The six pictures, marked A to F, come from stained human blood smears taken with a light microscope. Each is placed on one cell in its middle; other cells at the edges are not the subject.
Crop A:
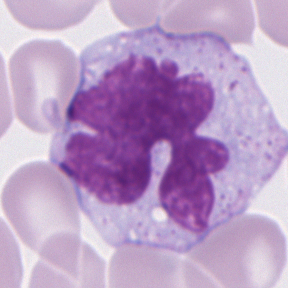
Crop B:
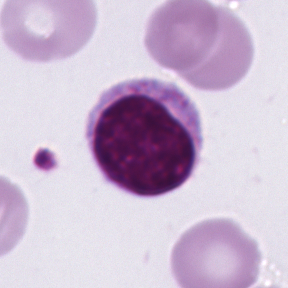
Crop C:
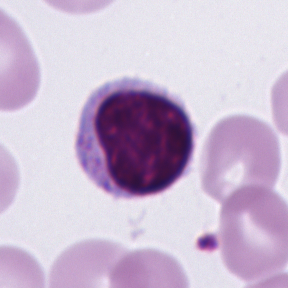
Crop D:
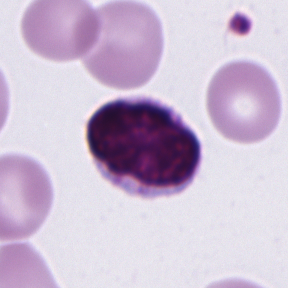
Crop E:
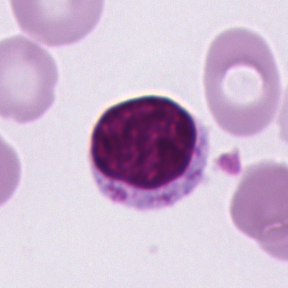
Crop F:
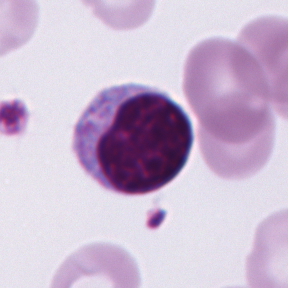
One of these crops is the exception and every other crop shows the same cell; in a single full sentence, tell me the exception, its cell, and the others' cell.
In every crop except crop A, which shows a monocyte, large granular lymphocytes are shown.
